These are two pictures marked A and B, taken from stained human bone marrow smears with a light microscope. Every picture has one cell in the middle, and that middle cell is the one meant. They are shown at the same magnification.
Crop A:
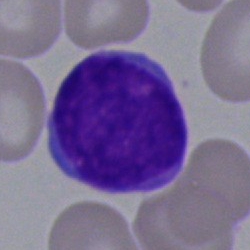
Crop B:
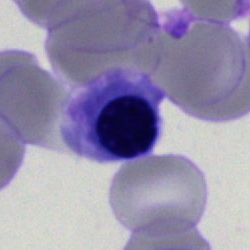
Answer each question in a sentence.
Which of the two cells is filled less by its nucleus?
In crop B the nucleus takes up the smaller part of its cell.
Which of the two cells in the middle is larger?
Larger is the cell in crop A, at roughly 2.5 times the area of the other.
